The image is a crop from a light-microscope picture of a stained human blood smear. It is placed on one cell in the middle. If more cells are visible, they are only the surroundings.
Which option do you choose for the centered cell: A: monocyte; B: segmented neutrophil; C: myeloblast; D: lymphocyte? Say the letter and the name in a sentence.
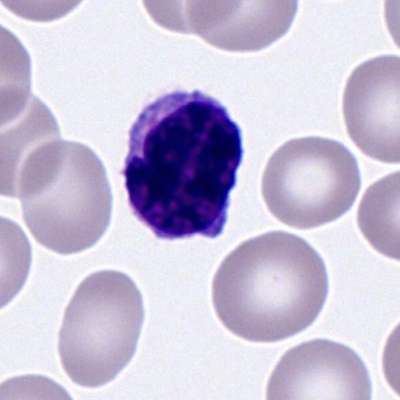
Option D is the correct one; it names the central cell as a lymphocyte.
